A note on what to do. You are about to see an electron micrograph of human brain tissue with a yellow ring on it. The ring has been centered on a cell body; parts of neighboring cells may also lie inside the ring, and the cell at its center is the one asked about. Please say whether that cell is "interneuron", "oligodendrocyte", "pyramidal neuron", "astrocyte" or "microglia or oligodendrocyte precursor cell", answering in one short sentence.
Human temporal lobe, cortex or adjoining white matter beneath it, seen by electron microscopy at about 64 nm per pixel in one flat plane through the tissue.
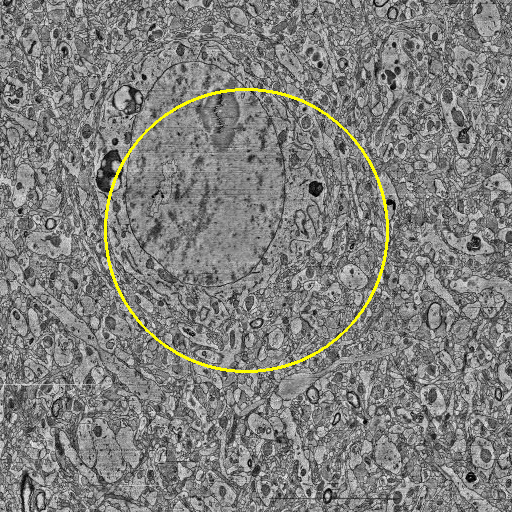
The yellow ring sits on a pyramidal neuron.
